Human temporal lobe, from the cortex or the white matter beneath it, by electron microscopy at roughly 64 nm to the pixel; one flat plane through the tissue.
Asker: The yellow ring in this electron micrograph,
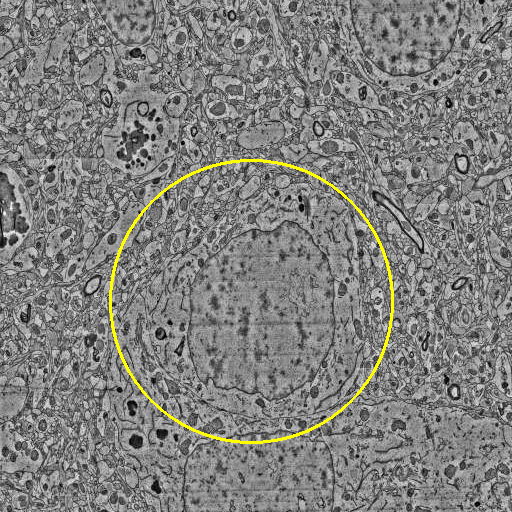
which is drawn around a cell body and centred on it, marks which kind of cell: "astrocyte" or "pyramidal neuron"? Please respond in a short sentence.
The marked cell is a pyramidal neuron.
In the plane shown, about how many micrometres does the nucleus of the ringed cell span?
Roughly 12 by 10 micrometres in this plane, for the nucleus of the ringed cell.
